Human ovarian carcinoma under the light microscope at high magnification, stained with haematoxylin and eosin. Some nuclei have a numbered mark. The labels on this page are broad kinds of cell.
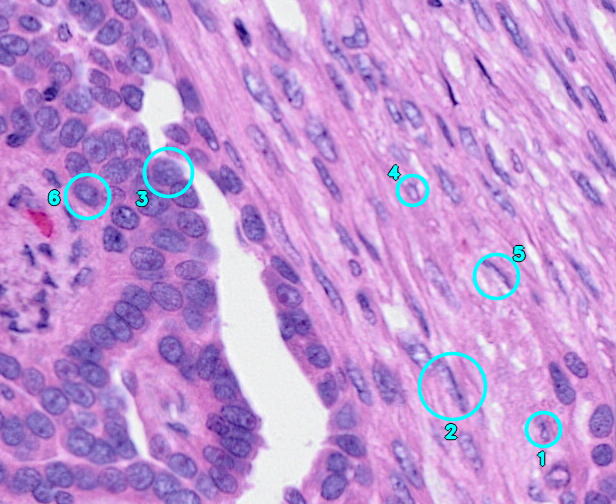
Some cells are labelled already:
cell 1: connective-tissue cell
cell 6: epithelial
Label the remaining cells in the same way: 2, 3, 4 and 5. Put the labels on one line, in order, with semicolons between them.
connective-tissue cell; epithelial; connective-tissue cell; connective-tissue cell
